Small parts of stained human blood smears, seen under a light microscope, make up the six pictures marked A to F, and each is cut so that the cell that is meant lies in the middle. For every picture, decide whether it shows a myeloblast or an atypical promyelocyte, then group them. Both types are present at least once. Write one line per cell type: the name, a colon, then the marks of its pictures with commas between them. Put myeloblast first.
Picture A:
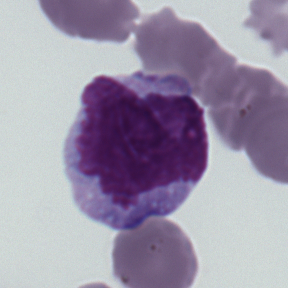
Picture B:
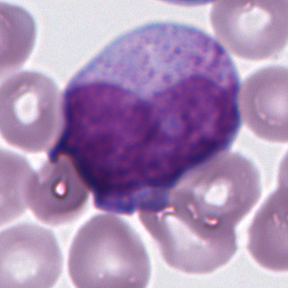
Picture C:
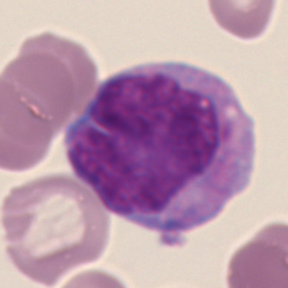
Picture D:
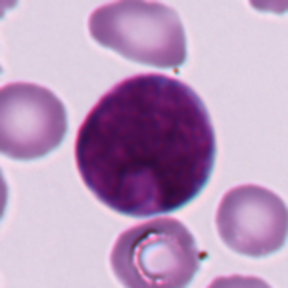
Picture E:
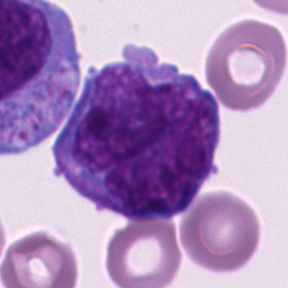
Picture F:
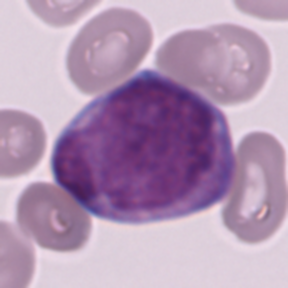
myeloblast: A, D
atypical promyelocyte: B, C, E, F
